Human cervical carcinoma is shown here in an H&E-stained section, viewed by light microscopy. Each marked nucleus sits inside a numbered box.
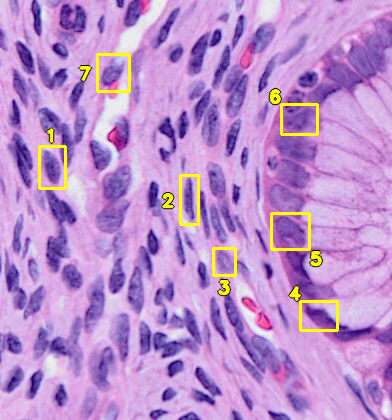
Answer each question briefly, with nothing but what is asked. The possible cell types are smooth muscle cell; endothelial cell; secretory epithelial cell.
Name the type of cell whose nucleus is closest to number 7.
endothelial cell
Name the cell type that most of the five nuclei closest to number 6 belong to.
secretory epithelial cell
